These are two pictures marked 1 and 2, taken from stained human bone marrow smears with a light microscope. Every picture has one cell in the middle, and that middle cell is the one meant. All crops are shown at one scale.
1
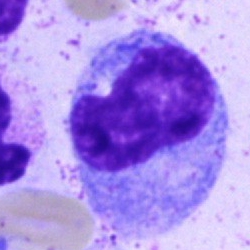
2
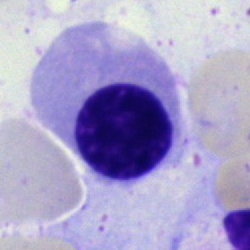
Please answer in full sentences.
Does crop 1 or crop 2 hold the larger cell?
The cell in crop 1 is larger, with about 1.5 times the area of the one in crop 2.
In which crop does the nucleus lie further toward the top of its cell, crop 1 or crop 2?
It is the nucleus in crop 1 that lies further toward the top of its cell.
